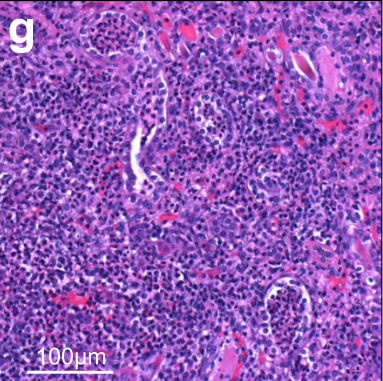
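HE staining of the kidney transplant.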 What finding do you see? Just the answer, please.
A: Interstitial nephritis.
